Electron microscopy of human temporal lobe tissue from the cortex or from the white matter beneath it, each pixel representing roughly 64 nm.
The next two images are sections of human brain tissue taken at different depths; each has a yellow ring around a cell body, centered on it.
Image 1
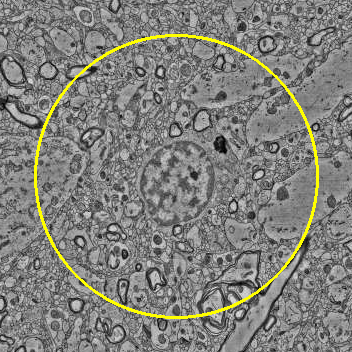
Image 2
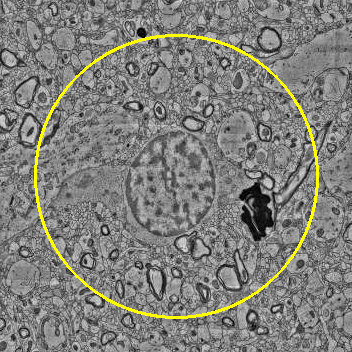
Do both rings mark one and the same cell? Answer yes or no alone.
yes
